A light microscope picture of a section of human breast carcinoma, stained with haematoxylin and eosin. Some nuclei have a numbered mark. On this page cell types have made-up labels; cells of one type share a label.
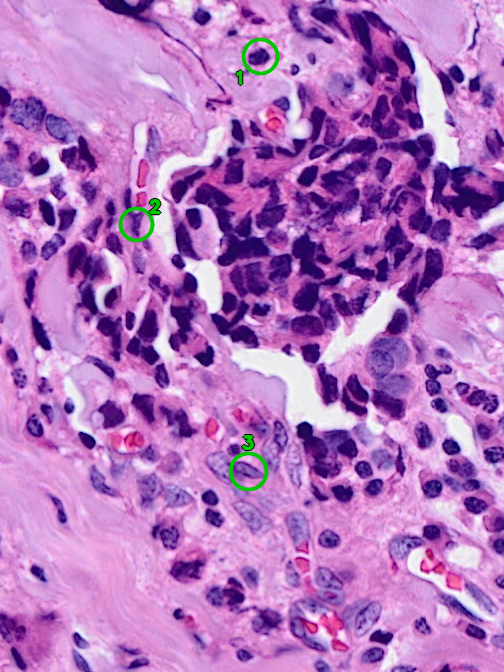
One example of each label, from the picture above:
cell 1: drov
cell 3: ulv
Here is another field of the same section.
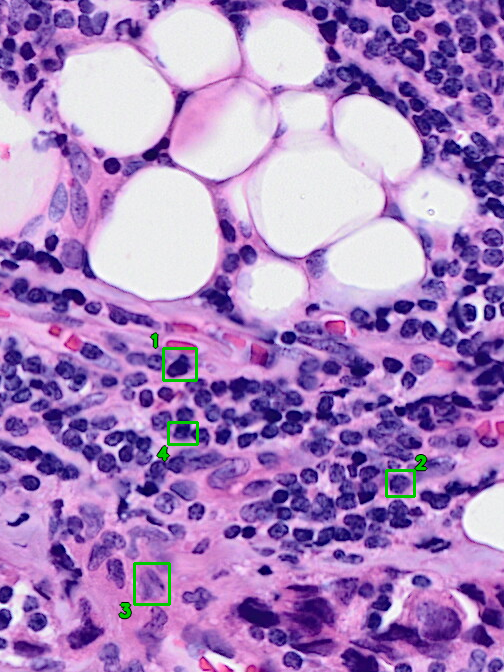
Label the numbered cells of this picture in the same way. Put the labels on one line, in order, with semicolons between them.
drov; drov; ulv; drov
